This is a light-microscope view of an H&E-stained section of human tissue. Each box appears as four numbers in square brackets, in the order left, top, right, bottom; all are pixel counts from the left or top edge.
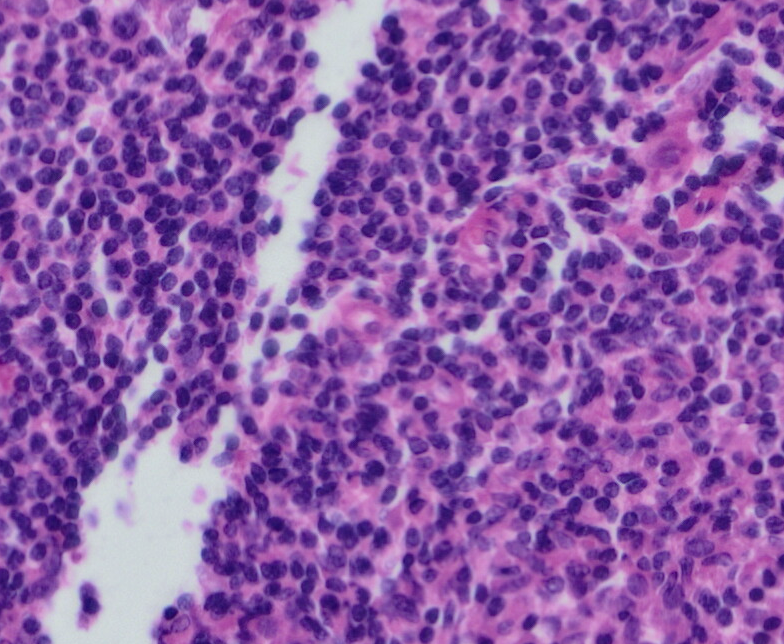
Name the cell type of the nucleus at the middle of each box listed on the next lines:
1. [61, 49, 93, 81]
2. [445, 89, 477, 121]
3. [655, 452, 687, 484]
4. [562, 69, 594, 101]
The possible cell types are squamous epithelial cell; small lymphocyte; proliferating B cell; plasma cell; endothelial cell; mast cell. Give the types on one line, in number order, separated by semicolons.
small lymphocyte; small lymphocyte; plasma cell; small lymphocyte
